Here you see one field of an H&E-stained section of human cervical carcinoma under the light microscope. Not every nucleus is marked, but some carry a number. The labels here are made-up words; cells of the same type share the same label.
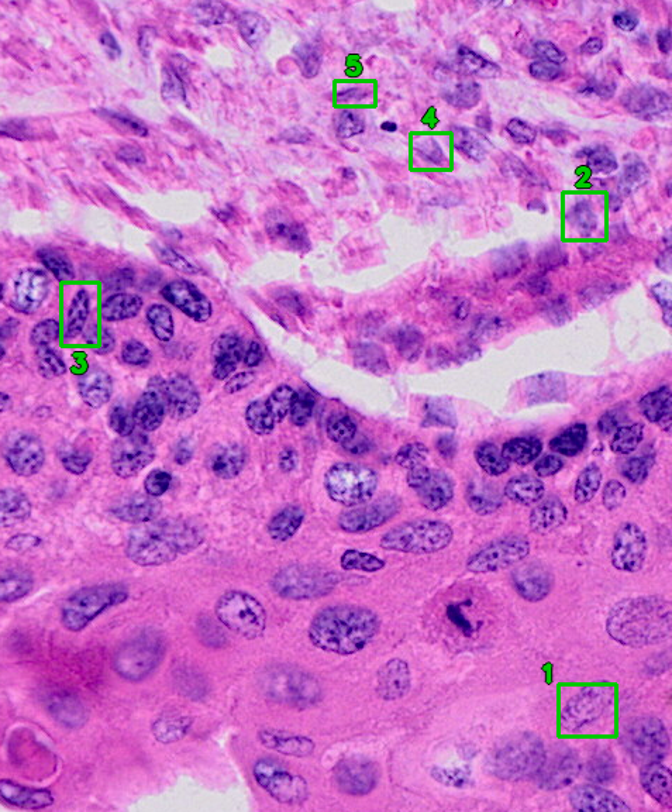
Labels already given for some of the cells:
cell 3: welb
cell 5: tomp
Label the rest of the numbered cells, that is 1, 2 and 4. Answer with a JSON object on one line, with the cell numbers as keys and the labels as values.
{"1": "welb", "2": "tomp", "4": "tomp"}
